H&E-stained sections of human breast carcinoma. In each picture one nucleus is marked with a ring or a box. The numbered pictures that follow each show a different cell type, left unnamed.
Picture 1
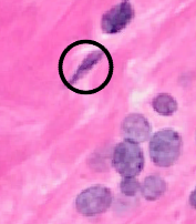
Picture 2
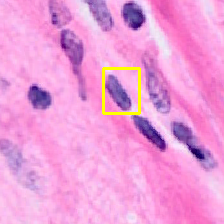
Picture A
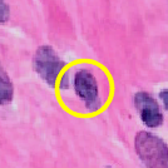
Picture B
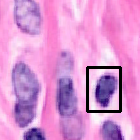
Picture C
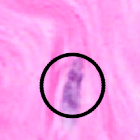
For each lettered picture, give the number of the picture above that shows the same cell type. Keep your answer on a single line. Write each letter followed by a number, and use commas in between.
A 2, B 2, C 1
